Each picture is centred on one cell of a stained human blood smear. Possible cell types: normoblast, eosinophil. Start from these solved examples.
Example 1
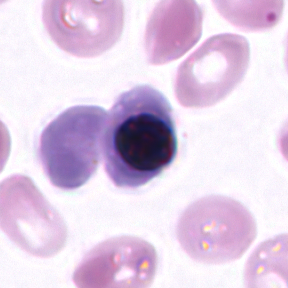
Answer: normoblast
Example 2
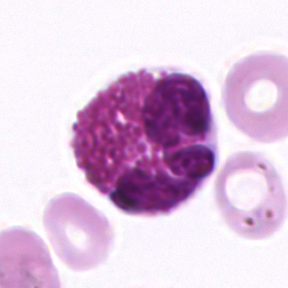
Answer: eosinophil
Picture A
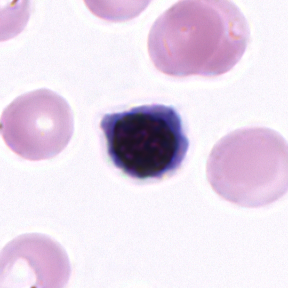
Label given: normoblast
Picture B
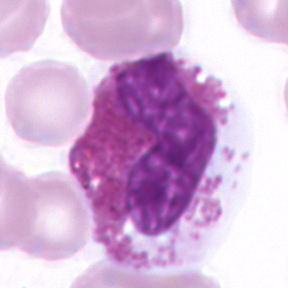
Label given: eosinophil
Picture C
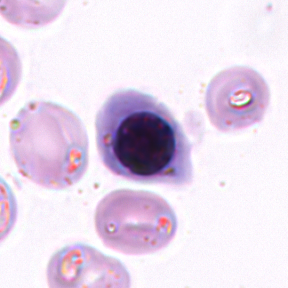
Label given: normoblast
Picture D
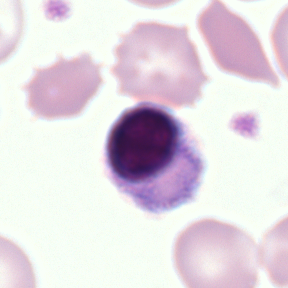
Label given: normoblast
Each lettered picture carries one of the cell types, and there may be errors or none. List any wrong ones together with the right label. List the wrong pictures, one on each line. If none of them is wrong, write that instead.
Nothing to fix; every label fits.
